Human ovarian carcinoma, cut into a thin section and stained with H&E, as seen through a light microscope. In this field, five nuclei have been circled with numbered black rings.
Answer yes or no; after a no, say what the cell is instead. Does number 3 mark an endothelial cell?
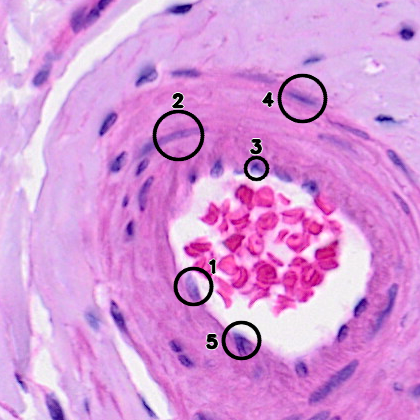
Yes.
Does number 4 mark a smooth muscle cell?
Yes.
